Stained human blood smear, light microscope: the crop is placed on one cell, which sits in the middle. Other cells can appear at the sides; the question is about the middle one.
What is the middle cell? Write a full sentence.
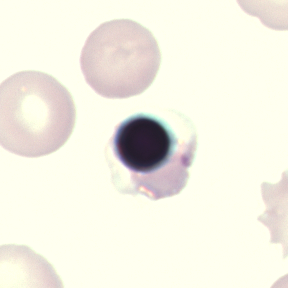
Regarding the central cell, it is a normoblast.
